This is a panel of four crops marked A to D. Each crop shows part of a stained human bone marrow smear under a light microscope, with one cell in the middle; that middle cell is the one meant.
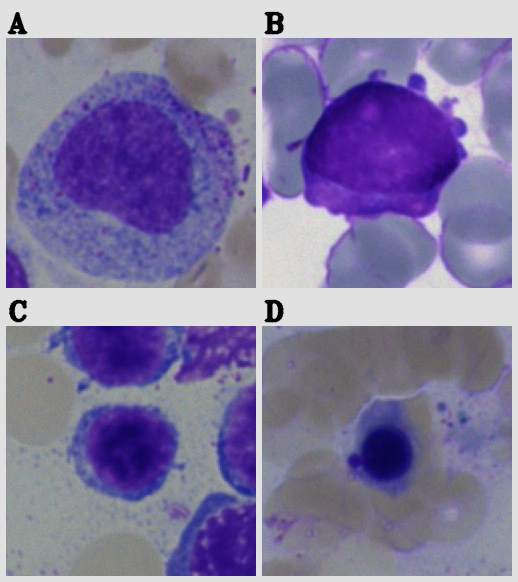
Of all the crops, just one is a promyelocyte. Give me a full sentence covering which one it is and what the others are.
Crop A is a promyelocyte and, for the others, crop B is a blast, crop C is a lymphocyte and crop D is an erythroblast.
